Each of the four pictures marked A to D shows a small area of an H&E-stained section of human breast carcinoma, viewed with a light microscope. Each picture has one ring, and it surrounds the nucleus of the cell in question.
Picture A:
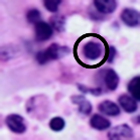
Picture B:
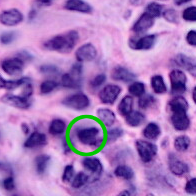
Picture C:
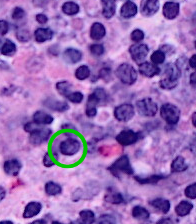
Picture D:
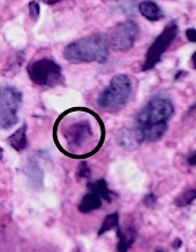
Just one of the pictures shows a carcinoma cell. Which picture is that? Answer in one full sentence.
The picture with the carcinoma cell is D.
